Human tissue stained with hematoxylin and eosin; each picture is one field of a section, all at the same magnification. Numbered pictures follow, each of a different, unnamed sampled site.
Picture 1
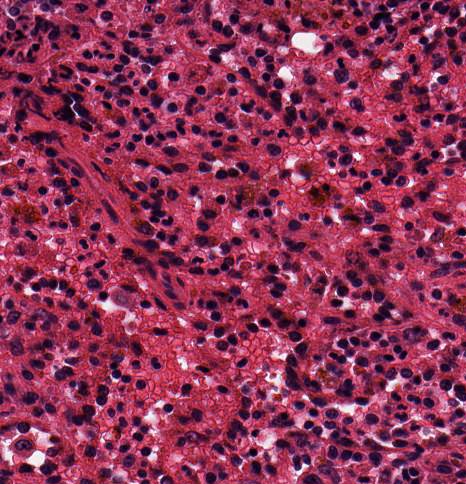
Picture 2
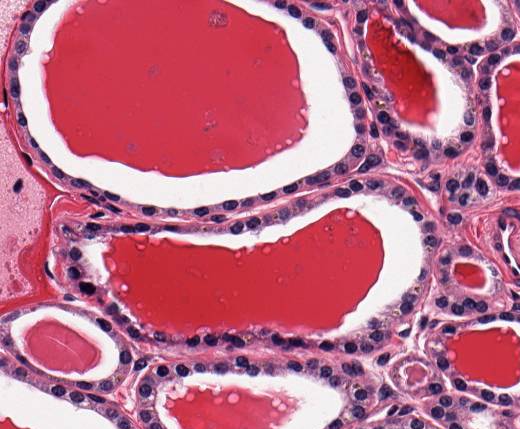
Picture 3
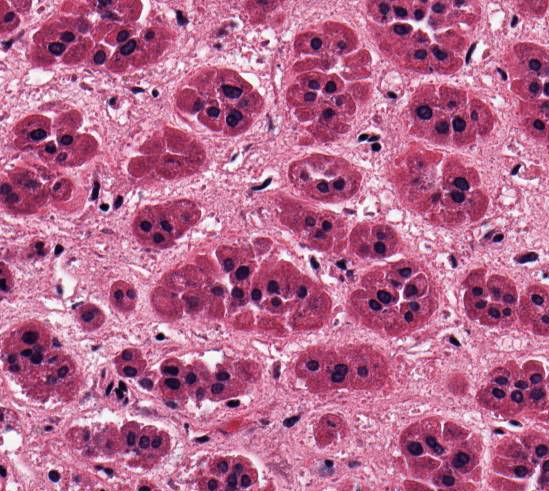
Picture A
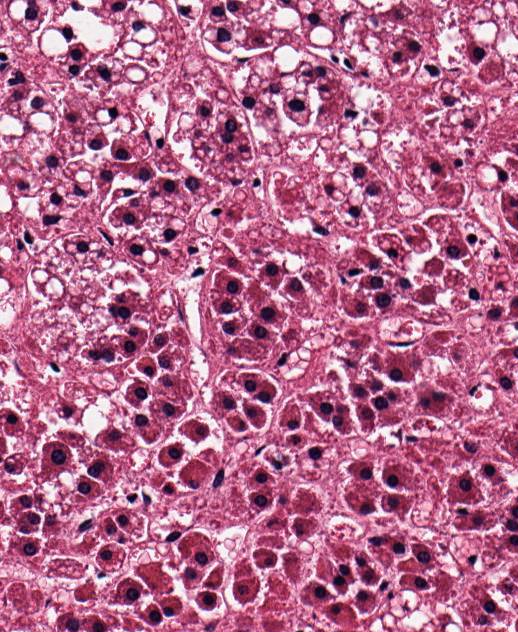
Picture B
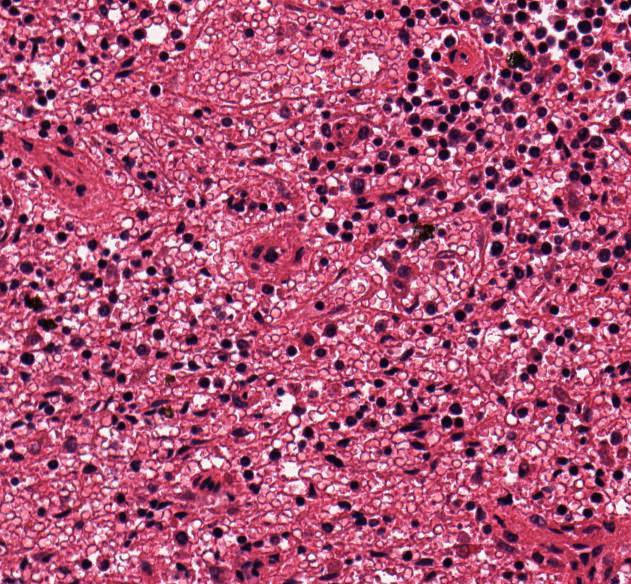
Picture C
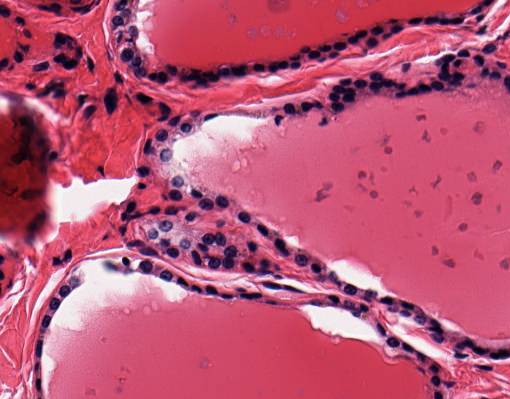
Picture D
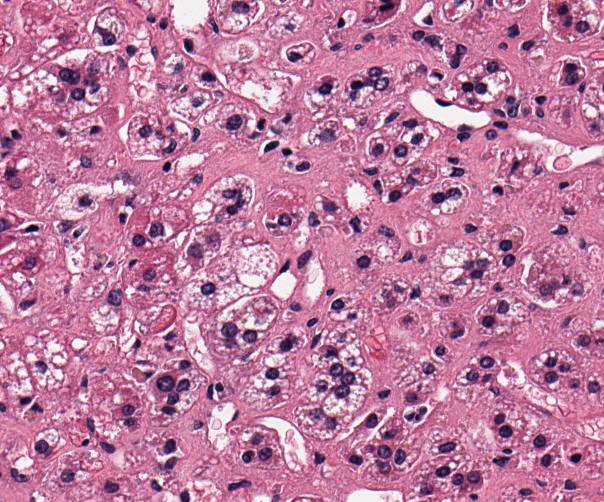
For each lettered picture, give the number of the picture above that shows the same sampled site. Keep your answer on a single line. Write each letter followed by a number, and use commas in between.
A 3, B 1, C 2, D 3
